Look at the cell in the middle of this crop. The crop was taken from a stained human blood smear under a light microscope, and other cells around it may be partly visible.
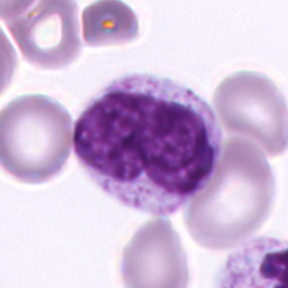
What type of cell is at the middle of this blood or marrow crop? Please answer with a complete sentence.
The crop centres on a single cell, and that cell is a metamyelocyte.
